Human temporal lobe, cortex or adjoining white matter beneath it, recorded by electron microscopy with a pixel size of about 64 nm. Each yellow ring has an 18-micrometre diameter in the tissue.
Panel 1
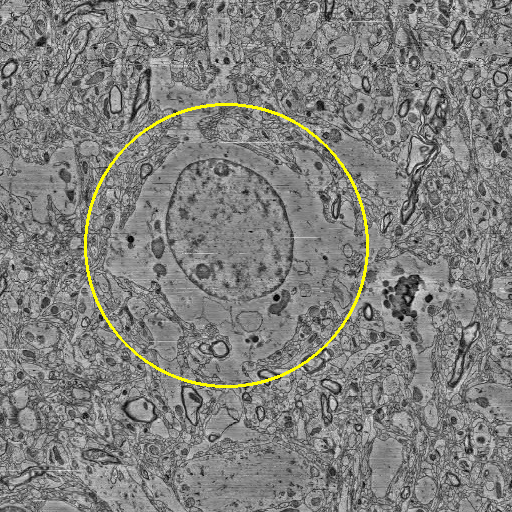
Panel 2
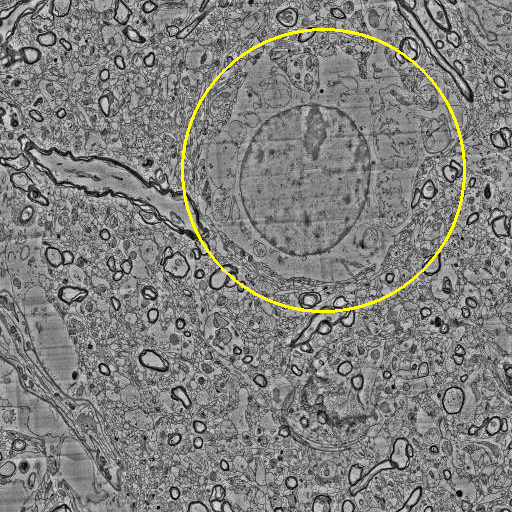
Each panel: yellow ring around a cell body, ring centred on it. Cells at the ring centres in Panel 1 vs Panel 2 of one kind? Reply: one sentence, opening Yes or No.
Yes, Panel 1 and Panel 2 have cells of one kind at the ring centres.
